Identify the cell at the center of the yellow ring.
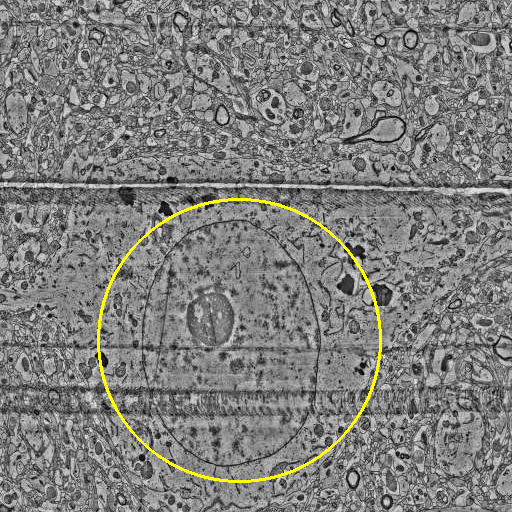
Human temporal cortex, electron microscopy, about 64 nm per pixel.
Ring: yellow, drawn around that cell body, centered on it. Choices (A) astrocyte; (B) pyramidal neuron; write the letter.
B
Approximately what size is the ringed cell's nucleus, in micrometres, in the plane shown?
The nucleus works out at approximately 16 by 11 micrometres in this plane.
